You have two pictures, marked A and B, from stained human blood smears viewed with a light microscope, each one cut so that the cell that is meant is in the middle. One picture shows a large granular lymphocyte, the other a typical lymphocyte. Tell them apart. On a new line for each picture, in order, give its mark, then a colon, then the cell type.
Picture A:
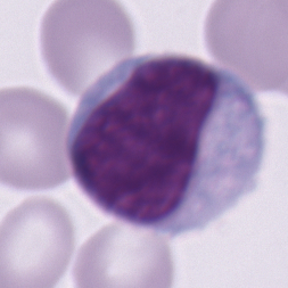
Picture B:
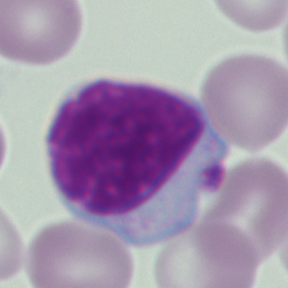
A: typical lymphocyte
B: large granular lymphocyte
